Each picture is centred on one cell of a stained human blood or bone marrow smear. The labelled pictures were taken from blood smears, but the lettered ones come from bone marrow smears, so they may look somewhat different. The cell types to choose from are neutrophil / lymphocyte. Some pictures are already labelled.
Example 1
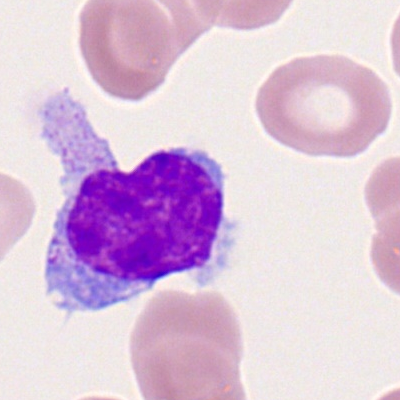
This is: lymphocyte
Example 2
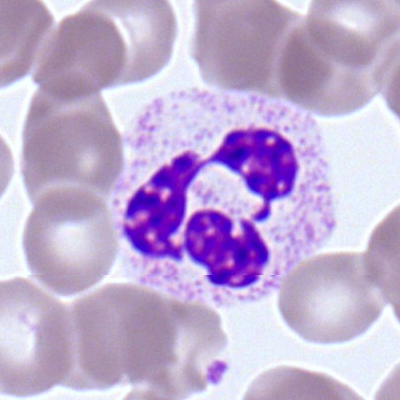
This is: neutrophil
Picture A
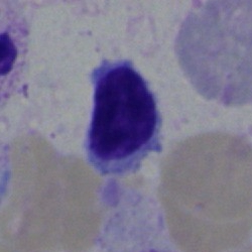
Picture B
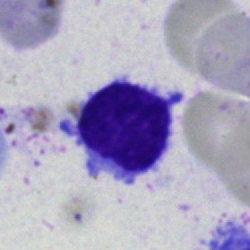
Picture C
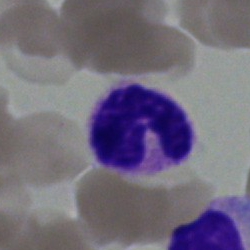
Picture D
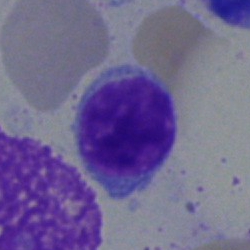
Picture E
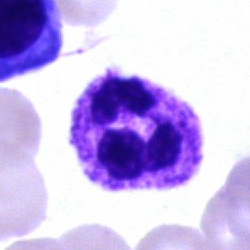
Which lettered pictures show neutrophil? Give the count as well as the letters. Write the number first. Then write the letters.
2, namely C, E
